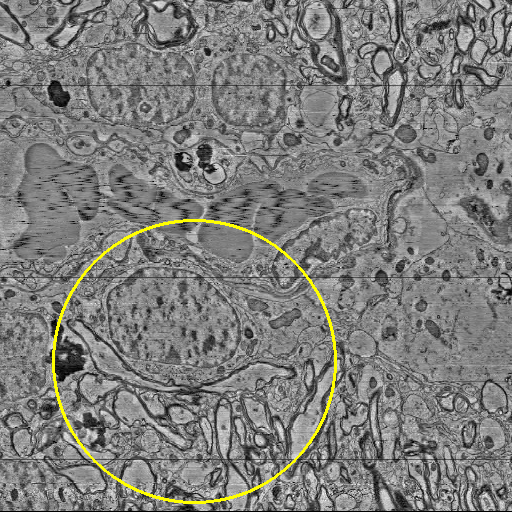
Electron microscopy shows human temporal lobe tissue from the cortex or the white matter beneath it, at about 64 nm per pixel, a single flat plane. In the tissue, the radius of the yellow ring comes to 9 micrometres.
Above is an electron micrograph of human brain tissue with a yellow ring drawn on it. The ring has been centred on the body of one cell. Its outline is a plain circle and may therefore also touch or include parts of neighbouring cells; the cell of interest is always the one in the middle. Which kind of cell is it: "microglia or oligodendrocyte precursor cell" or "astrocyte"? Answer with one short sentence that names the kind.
The ring's central cell body is that of a microglial cell or oligodendrocyte precursor cell.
